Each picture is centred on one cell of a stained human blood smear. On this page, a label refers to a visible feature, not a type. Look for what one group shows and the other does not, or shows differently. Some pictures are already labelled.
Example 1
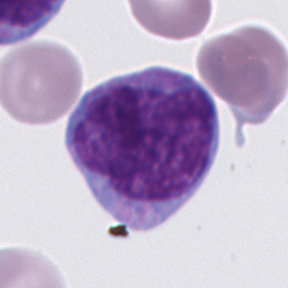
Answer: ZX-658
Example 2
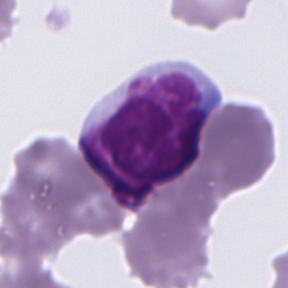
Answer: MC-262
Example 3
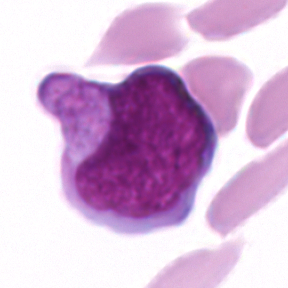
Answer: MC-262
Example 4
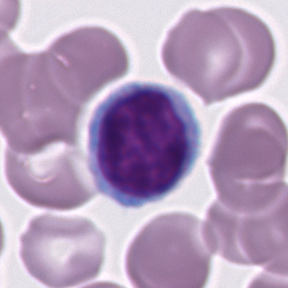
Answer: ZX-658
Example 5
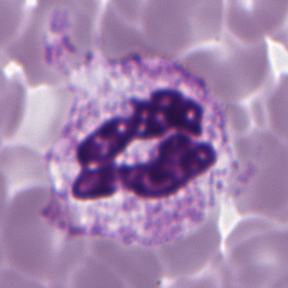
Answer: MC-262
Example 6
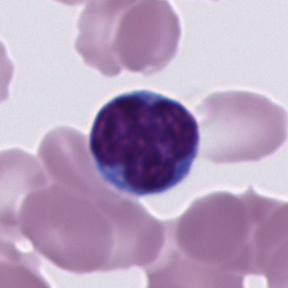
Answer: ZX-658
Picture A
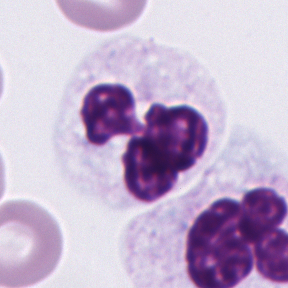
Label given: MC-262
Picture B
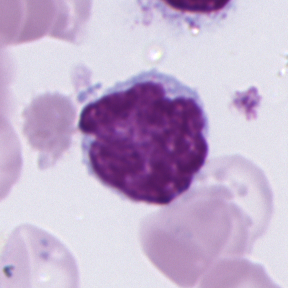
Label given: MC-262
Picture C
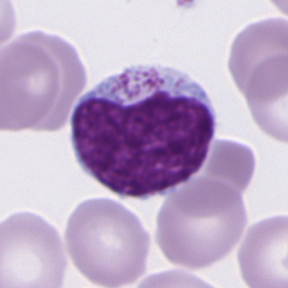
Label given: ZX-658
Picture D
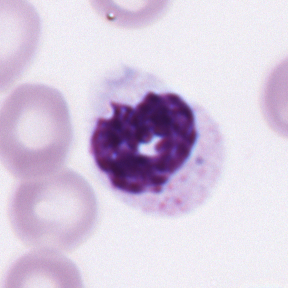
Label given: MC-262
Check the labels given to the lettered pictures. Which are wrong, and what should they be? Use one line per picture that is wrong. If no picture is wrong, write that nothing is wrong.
A is labelled MC-262; correct label: ZX-658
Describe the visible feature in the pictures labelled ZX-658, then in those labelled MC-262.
ZX-658, smooth outline; MC-262, ragged outline or projections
